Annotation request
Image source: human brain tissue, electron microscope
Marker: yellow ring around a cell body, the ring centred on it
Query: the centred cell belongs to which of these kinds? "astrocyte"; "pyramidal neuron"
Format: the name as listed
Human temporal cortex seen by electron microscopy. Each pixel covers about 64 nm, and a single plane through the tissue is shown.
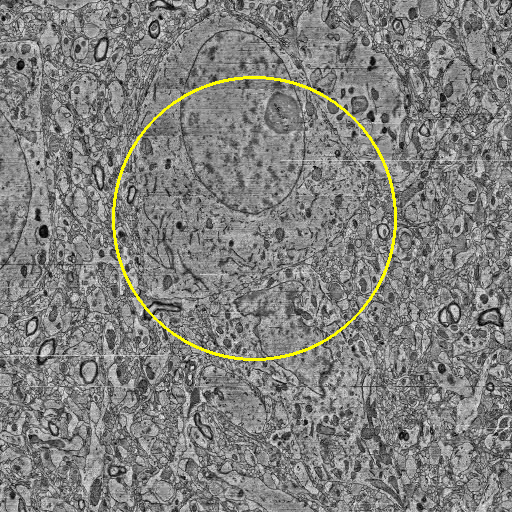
pyramidal neuron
